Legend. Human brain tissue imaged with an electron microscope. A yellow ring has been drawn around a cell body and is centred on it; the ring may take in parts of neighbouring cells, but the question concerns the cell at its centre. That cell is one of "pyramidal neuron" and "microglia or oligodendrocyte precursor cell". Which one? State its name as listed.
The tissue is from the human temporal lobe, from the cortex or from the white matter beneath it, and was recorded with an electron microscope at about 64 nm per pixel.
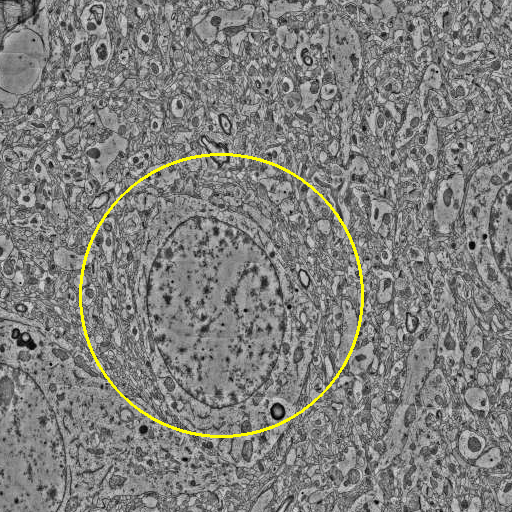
pyramidal neuron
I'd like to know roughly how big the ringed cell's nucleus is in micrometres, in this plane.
About 12 micrometres by about 9 micrometres in this plane.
